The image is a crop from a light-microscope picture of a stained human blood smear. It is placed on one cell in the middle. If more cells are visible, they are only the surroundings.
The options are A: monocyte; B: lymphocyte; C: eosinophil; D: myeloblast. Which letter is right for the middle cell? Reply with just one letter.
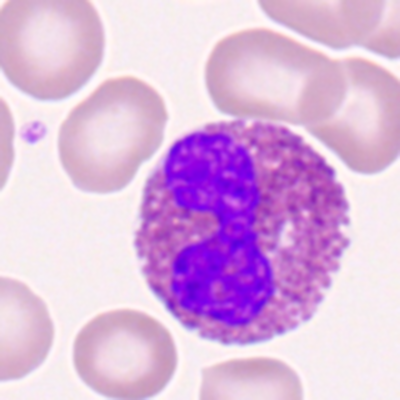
C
